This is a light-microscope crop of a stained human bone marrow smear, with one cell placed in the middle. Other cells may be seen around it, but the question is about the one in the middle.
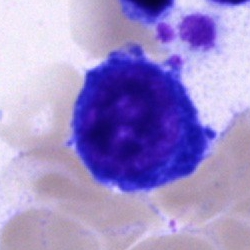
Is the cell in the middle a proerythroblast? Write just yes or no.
yes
